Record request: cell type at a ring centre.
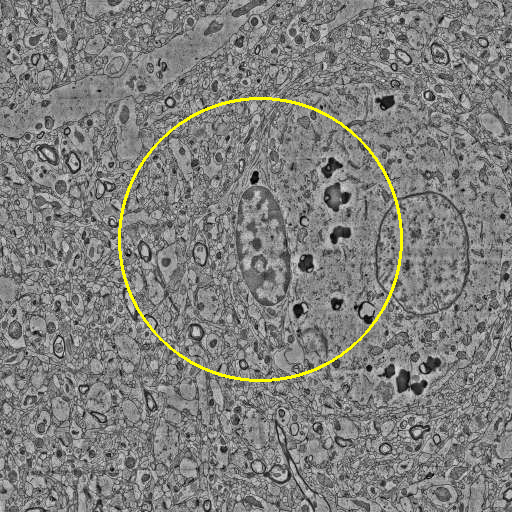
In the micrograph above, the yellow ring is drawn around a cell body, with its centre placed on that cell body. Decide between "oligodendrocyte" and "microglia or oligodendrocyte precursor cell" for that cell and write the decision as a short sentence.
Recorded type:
The cell centred in the yellow ring is a microglial cell or oligodendrocyte precursor cell.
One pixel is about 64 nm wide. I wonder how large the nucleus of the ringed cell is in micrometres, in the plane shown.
About 8 by 3 micrometers in this plane, so the nucleus is clearly longer than it is wide.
